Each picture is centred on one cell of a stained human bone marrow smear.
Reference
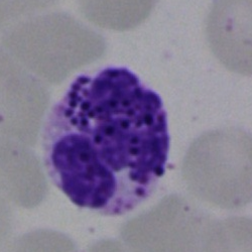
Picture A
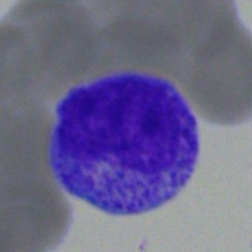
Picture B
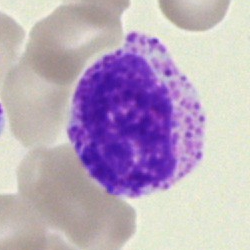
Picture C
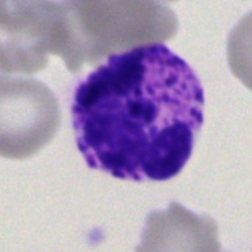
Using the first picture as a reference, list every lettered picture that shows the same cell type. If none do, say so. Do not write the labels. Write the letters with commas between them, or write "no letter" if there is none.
B, C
